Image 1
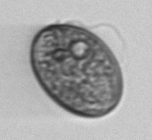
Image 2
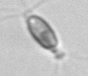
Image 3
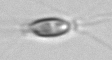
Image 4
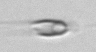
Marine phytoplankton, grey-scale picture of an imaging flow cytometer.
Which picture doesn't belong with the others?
Picture 1.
